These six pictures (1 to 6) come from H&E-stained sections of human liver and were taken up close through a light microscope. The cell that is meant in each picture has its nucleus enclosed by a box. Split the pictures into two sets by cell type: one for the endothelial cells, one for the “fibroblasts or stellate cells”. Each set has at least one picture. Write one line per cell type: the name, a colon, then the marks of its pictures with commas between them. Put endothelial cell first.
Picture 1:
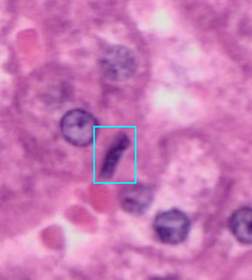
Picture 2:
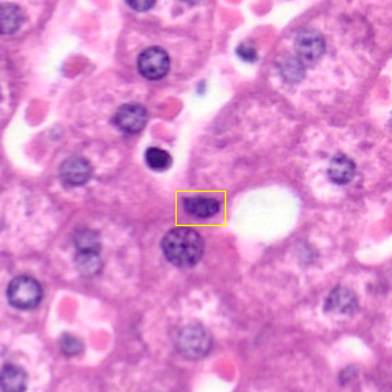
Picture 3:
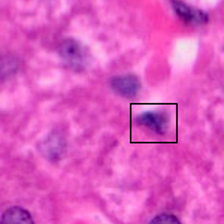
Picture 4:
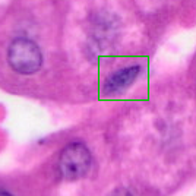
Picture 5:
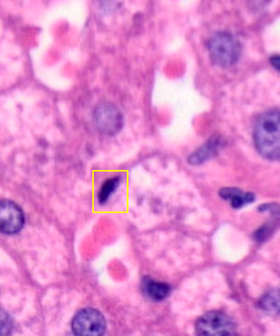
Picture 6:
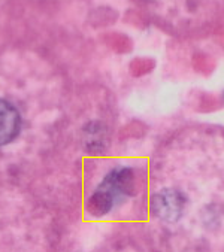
endothelial cell: 3, 6
fibroblast or stellate cell: 1, 2, 4, 5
